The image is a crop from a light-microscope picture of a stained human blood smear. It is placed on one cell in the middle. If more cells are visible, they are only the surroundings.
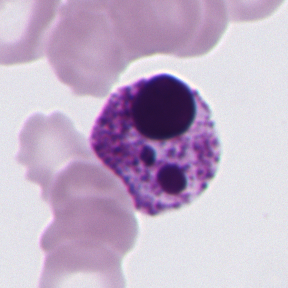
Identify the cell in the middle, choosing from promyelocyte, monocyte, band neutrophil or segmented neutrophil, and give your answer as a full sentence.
In this crop, the cell at the very middle is a segmented neutrophil.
